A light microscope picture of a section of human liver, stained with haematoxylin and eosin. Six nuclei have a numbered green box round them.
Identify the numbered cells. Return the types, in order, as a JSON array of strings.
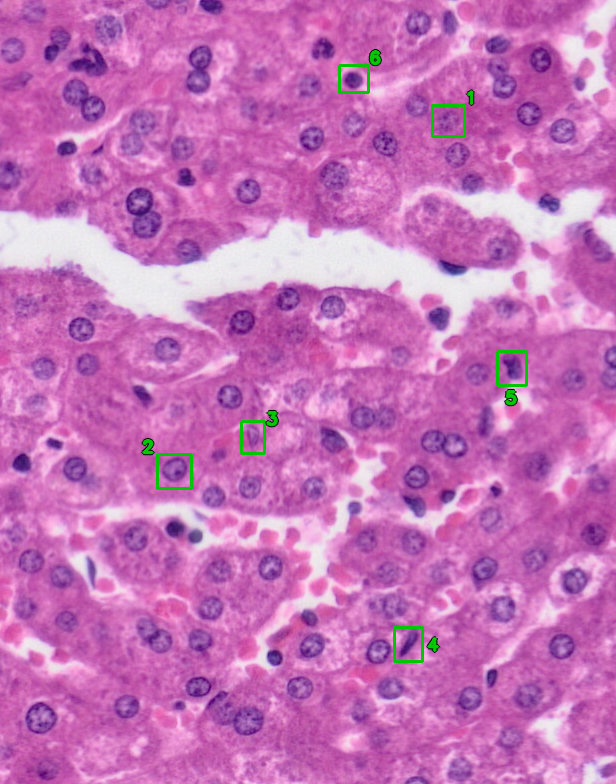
["hepatocyte", "hepatocyte", "endothelial cell", "fibroblast or stellate cell", "fibroblast or stellate cell", "lymphocyte"]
